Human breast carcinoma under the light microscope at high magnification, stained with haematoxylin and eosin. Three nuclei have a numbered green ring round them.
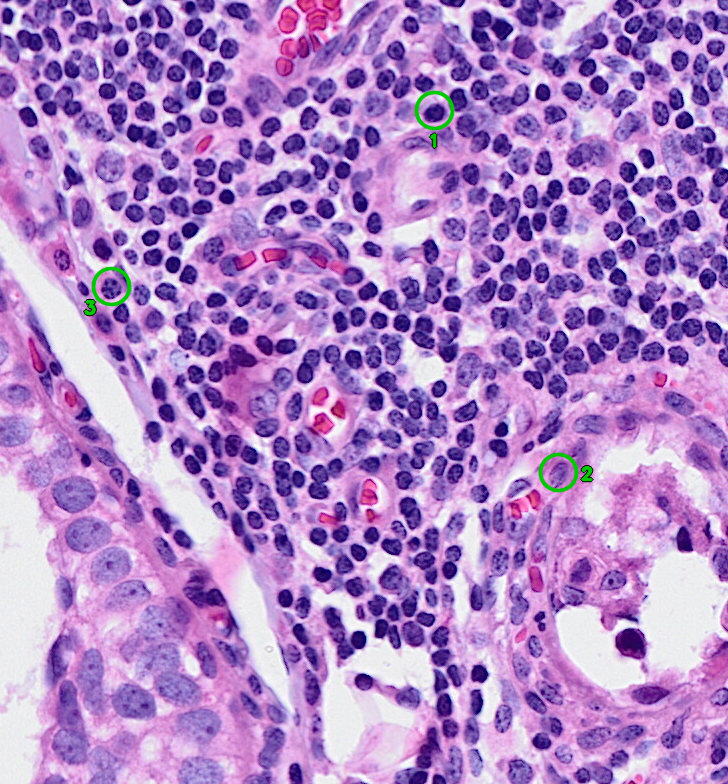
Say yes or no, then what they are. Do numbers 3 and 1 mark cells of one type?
No, cell 3 is interpreted as a mast cell, and cell 1 is interpreted as a lymphocyte.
